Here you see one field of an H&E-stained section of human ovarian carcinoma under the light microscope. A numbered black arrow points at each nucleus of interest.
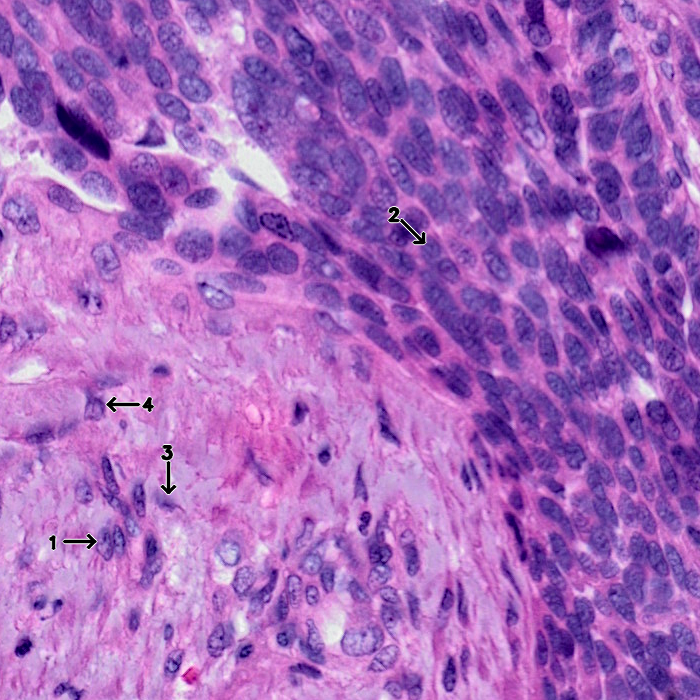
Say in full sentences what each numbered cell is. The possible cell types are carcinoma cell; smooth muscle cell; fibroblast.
Cell 1 is a fibroblast, cell 2 is a carcinoma cell, cell 3 is a fibroblast and cell 4 is a fibroblast.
